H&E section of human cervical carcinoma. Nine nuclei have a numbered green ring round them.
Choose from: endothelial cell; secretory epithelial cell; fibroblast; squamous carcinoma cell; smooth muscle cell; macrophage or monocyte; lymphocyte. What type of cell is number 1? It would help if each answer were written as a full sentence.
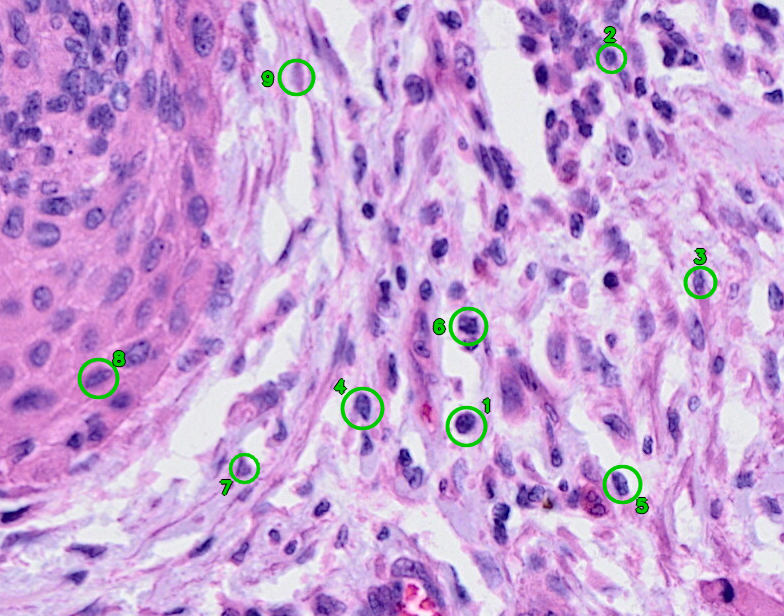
Cell 1 of the marked set is a lymphocyte.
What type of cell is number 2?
The cell carrying label 2 is identified as a lymphocyte.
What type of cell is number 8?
In the tissue shown, cell 8 is a squamous carcinoma cell.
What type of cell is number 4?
The cell identified by the number 4 is a lymphocyte.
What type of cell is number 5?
It is as a lymphocyte that the cell numbered 5 is identified.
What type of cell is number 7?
The numbered cell 7 in this field is a fibroblast.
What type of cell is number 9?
The cell whose nucleus carries the number 9 is a fibroblast.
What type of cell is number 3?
Cell 3 is classified as a fibroblast.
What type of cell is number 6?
To a lymphocyte belongs the nucleus marked 6.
